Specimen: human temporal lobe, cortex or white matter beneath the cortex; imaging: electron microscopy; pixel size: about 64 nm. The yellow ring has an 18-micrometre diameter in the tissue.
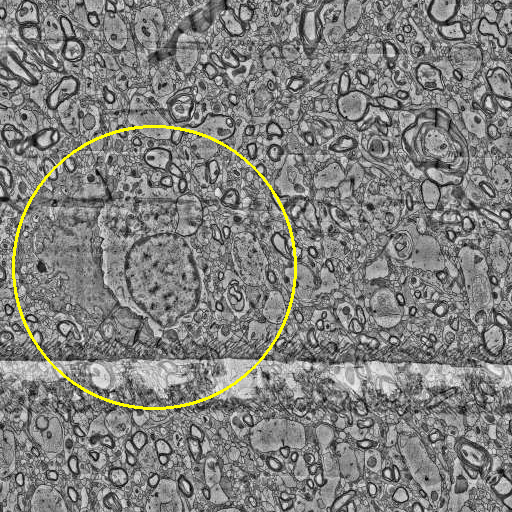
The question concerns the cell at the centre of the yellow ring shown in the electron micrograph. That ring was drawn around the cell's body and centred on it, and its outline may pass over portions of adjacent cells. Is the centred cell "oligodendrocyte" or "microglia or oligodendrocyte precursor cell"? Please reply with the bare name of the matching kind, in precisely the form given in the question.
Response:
microglia or oligodendrocyte precursor cell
